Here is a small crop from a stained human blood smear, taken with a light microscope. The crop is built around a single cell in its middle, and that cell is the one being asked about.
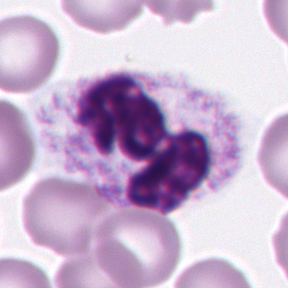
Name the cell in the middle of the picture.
segmented neutrophil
